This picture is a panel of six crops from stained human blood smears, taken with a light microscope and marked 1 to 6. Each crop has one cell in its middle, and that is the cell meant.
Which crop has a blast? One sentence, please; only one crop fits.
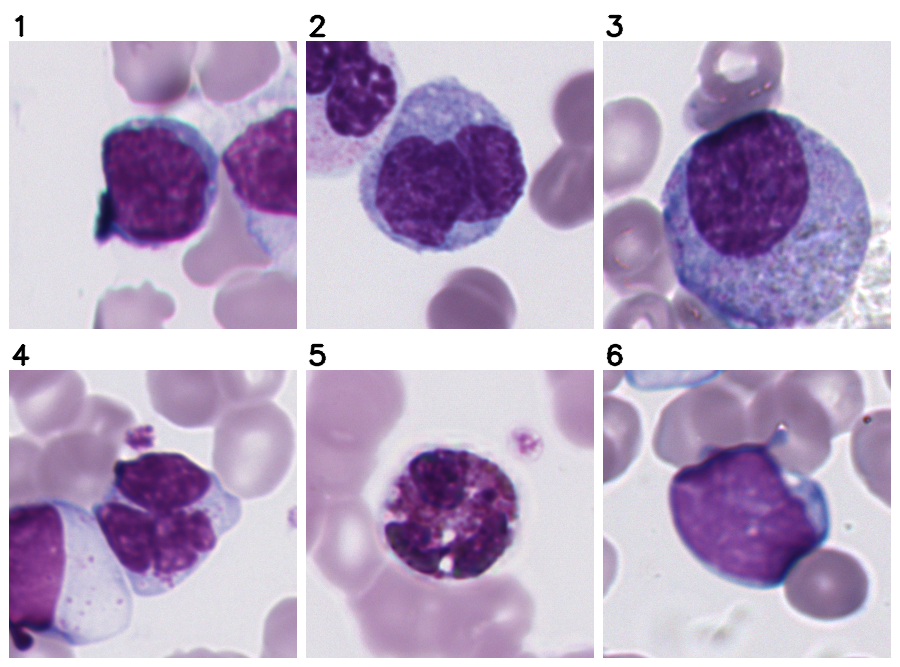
Of these crops, it is crop 6 that shows a blast.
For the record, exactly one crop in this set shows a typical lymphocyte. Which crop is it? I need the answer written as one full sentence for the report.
Crop 1 is where a typical lymphocyte is shown.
